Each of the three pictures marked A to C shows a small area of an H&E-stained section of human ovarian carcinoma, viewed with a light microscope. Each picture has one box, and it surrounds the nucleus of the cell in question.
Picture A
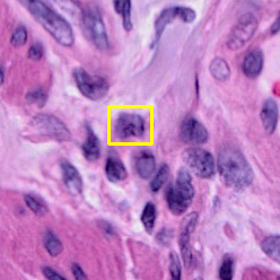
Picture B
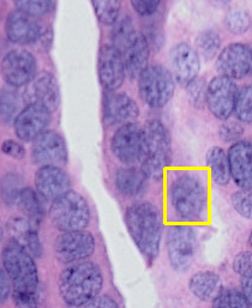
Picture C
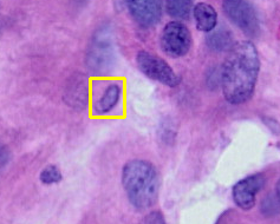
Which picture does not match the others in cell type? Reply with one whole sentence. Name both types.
All pictures except B show “macrophages or monocytes”; picture B shows a carcinoma cell.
